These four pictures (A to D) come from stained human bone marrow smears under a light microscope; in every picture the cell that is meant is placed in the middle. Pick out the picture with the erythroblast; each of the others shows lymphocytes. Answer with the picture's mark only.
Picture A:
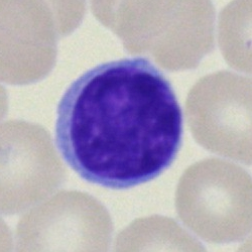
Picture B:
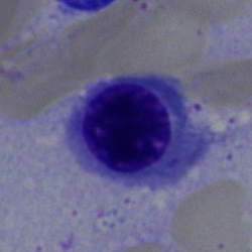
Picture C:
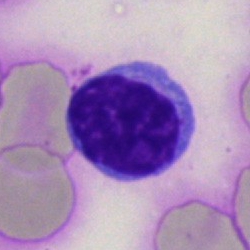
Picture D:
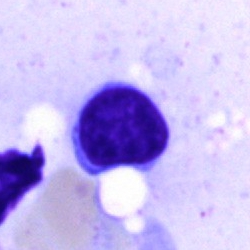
B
